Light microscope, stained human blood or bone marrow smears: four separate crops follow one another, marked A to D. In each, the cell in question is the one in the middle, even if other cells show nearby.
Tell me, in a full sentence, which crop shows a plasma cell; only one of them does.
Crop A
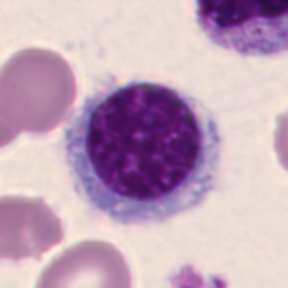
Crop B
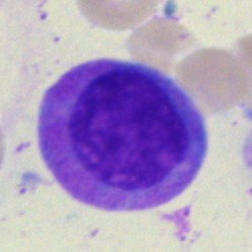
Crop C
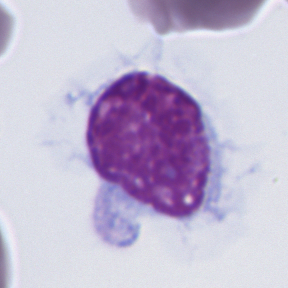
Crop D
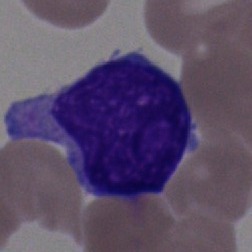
Identified crop: A, the one that shows a plasma cell.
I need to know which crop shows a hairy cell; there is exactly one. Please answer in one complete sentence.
The one crop in the set with a hairy cell is crop C.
